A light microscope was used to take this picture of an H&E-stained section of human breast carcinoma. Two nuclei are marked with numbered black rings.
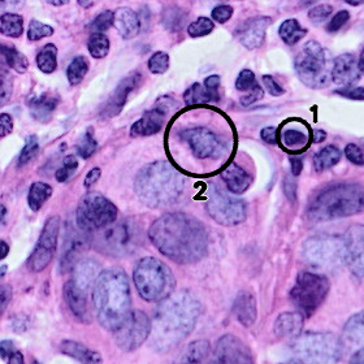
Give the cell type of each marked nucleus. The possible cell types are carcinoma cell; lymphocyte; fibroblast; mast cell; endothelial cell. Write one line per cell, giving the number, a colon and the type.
1: lymphocyte
2: carcinoma cell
